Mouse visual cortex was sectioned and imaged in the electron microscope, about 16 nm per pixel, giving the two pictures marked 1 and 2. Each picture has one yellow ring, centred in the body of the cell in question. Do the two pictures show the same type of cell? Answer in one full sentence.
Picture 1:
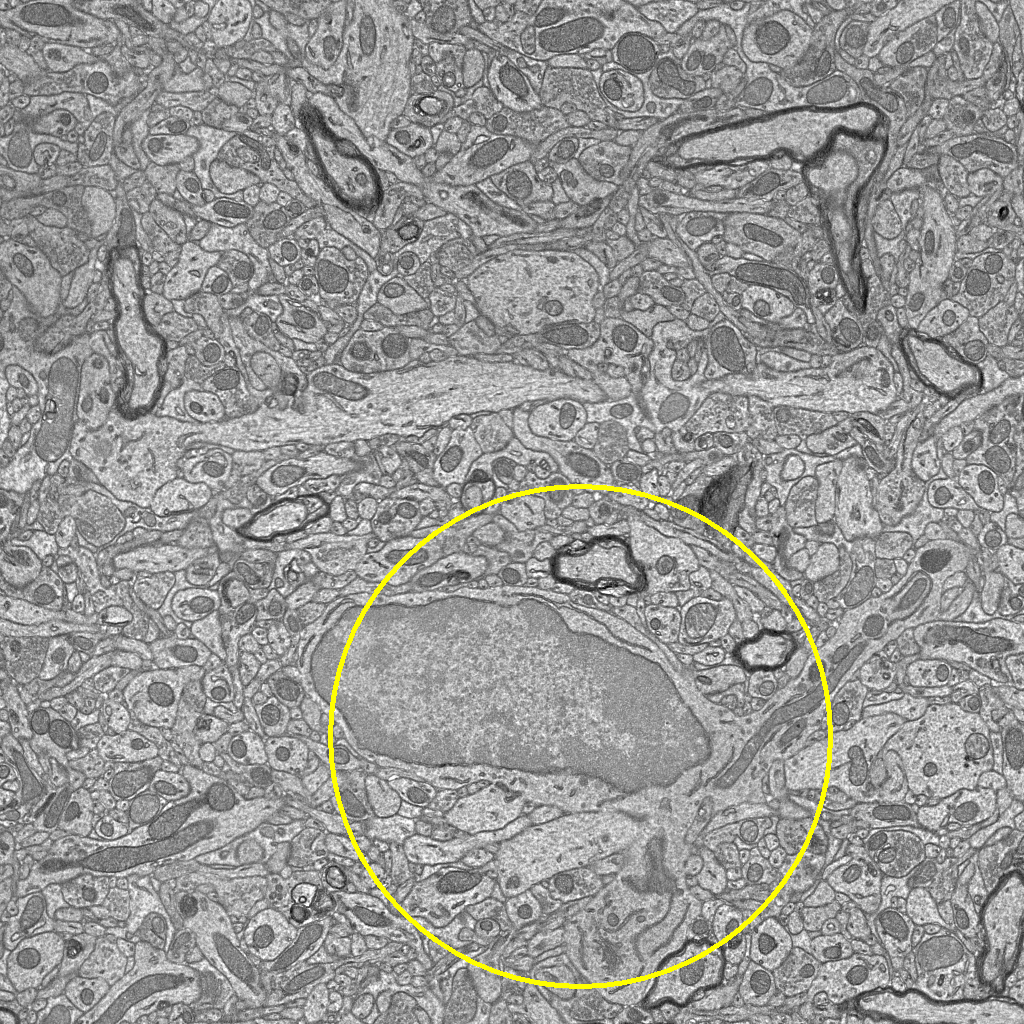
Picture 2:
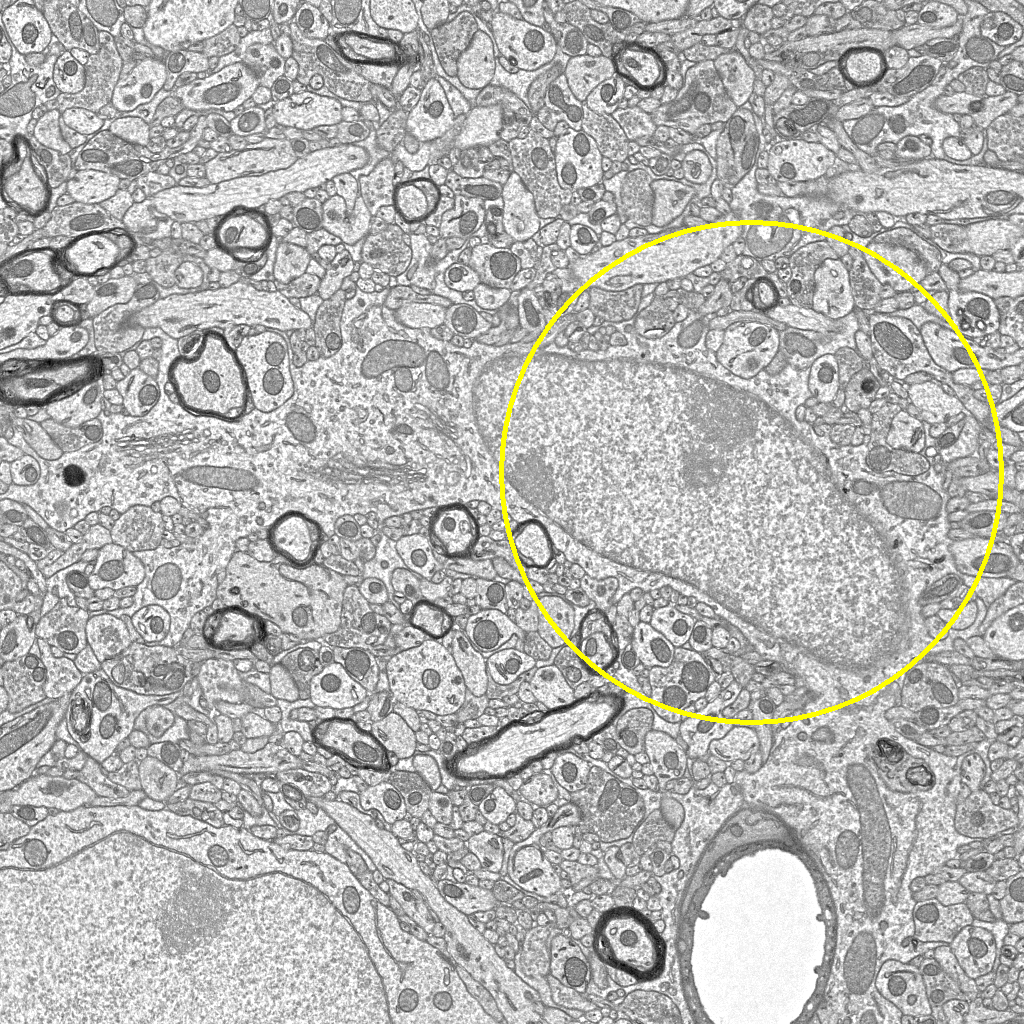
No; the cell in picture 1 is a microglial cell, while the one in picture 2 is an astrocyte.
